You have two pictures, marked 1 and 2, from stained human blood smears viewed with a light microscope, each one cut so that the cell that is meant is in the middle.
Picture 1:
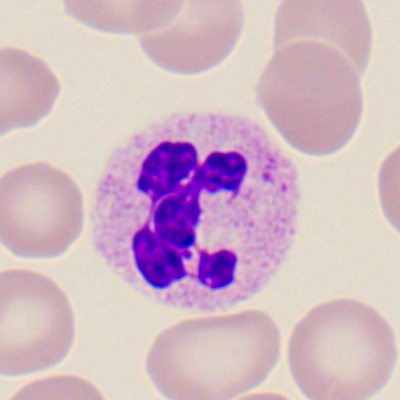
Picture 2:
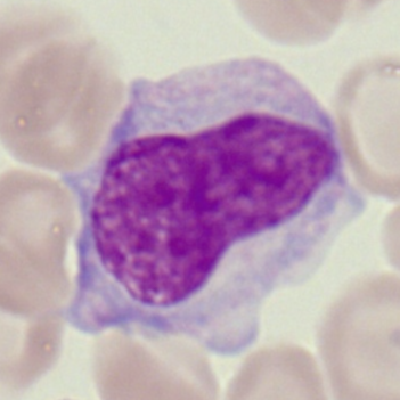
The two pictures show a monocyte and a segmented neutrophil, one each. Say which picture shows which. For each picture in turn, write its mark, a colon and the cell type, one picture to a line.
1: segmented neutrophil
2: monocyte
